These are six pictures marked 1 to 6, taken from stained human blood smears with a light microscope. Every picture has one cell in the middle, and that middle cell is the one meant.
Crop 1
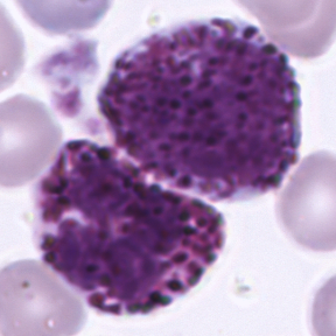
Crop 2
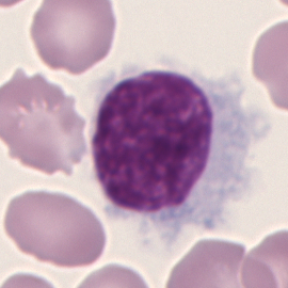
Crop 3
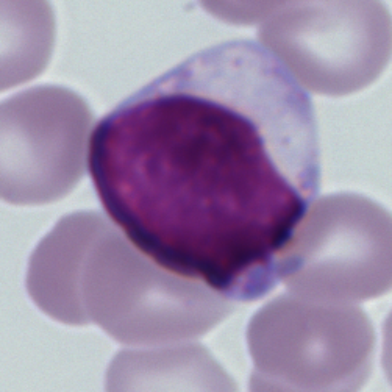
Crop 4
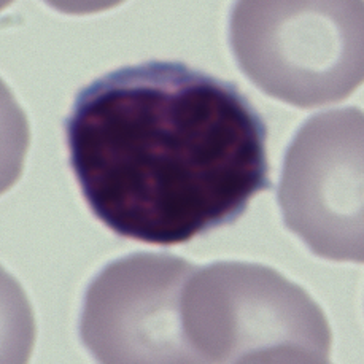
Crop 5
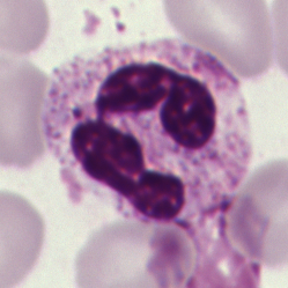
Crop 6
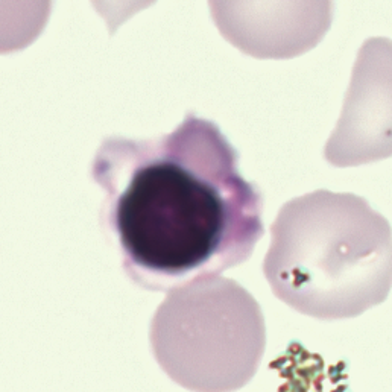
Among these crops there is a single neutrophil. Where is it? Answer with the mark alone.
5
